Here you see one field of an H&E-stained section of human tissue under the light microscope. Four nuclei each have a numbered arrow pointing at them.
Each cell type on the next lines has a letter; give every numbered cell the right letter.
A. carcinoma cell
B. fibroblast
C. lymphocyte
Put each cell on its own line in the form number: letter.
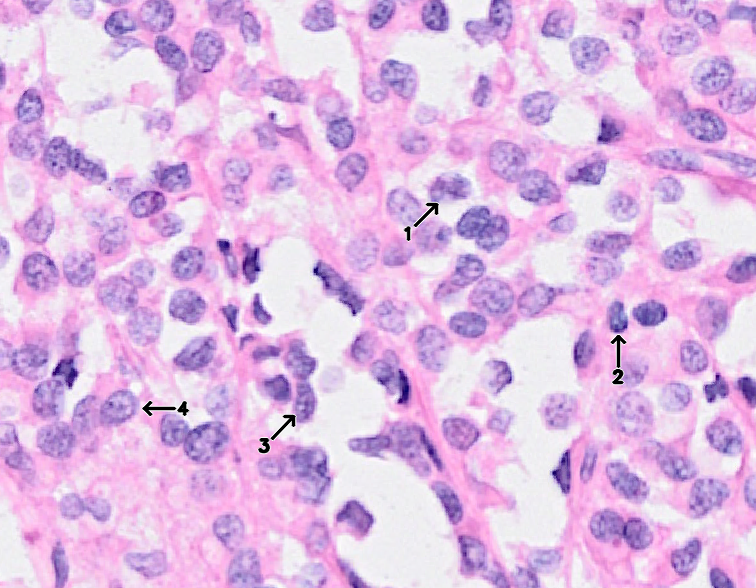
1: A
2: C
3: A
4: A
